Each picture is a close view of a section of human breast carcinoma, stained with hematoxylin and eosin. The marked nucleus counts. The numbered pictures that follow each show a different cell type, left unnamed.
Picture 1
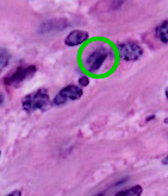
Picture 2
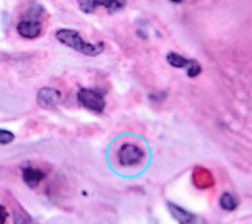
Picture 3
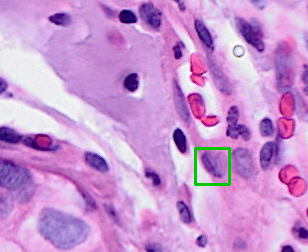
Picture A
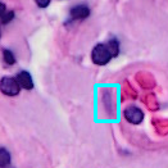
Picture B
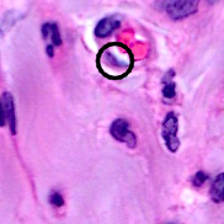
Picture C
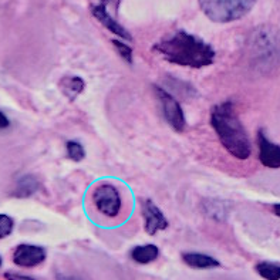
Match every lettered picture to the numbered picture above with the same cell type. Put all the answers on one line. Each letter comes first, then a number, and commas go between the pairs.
A 3, B 3, C 2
